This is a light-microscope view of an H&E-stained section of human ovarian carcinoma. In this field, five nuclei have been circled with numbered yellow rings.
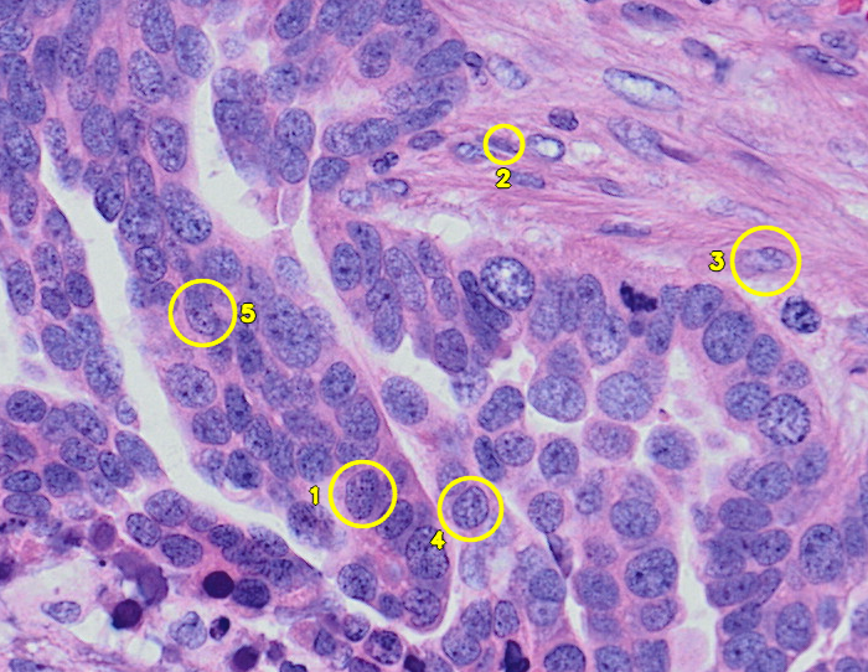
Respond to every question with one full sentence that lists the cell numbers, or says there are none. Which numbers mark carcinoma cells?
Within this tissue, the cells numbered 1, 4 and 5 are carcinoma cells.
